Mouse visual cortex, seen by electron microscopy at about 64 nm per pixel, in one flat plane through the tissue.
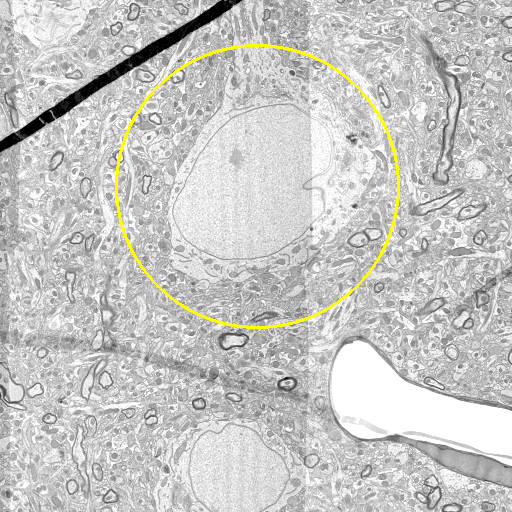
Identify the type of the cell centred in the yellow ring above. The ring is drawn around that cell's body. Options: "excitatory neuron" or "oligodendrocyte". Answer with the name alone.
excitatory neuron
